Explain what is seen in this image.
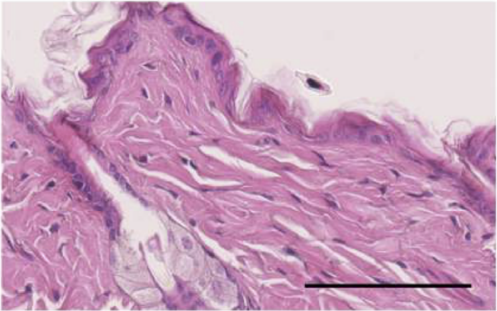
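A section of skin at high magnification: a thin epidermis of only a few layers of cells with purple nuclei covers the surface. Beneath it the dermis consists of pink, wavy bundles of collagen fibres among which lie scattered elongated, dark nuclei of connective tissue cells. At the left a narrow purple epithelial structure runs down into the dermis, with pale, foamy cells at its lower end.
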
